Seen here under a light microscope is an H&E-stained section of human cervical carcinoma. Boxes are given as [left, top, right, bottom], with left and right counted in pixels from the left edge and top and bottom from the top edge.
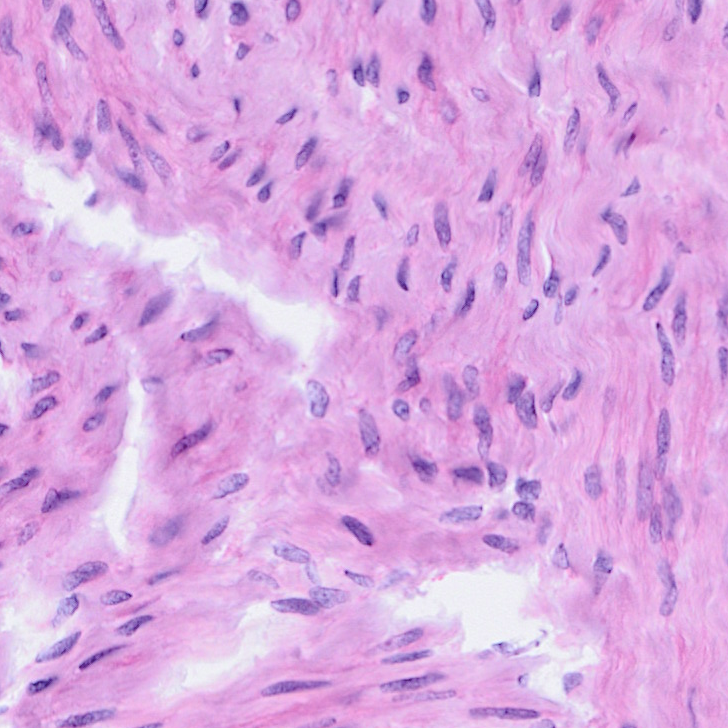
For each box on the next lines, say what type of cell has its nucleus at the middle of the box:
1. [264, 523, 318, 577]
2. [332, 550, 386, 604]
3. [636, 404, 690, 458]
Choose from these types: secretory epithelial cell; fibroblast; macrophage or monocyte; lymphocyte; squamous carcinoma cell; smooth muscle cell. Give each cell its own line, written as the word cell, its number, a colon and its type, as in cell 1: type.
cell 1: fibroblast
cell 2: fibroblast
cell 3: smooth muscle cell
